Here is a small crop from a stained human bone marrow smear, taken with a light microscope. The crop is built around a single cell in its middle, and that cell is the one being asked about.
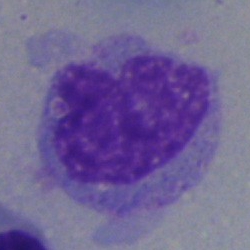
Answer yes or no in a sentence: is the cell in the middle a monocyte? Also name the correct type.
Yes, a monocyte is what the central cell is.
